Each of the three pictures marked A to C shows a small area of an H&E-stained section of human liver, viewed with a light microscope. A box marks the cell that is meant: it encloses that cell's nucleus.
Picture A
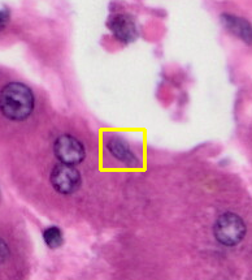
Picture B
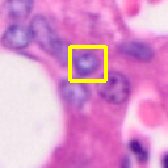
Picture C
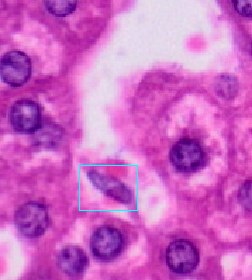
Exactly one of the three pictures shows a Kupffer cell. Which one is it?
C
